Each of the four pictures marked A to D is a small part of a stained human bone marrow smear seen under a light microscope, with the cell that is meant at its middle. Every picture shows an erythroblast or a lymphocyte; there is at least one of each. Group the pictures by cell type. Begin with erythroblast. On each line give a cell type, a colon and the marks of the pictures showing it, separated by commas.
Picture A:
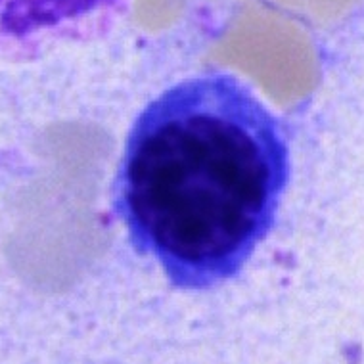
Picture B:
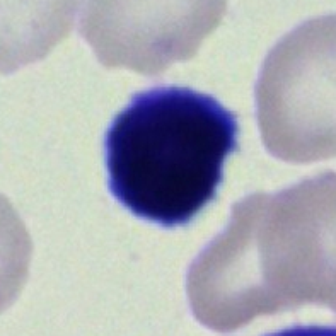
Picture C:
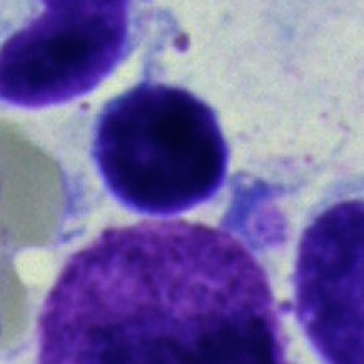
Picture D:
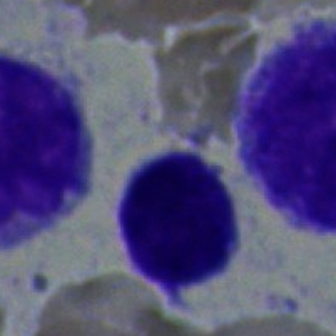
erythroblast: A
lymphocyte: B, C, D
